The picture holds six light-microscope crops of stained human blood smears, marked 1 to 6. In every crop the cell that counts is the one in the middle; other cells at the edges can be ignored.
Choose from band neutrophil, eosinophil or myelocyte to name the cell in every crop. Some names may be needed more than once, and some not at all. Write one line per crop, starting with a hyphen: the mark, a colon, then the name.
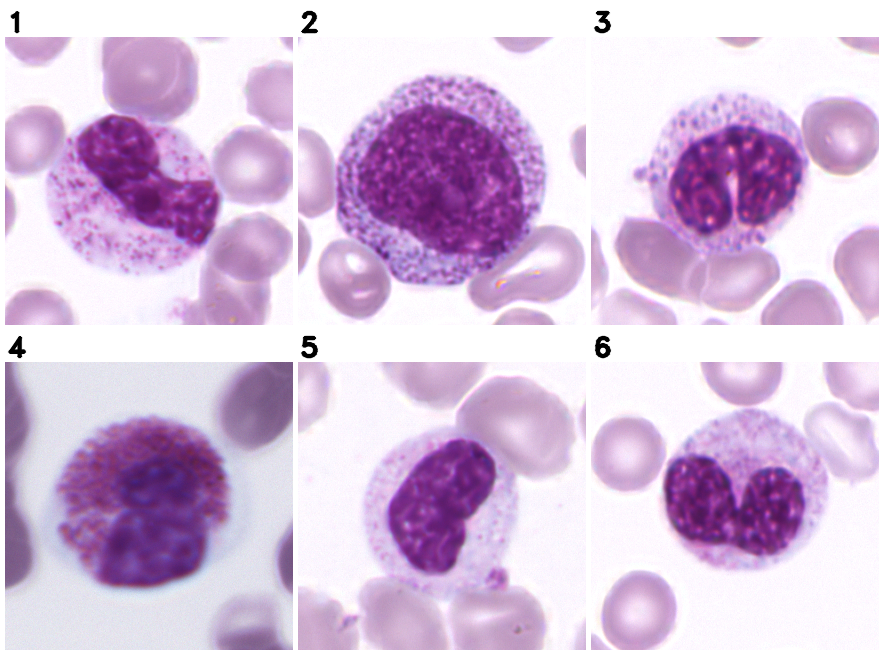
- 1: band neutrophil
- 2: myelocyte
- 3: band neutrophil
- 4: eosinophil
- 5: band neutrophil
- 6: band neutrophil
